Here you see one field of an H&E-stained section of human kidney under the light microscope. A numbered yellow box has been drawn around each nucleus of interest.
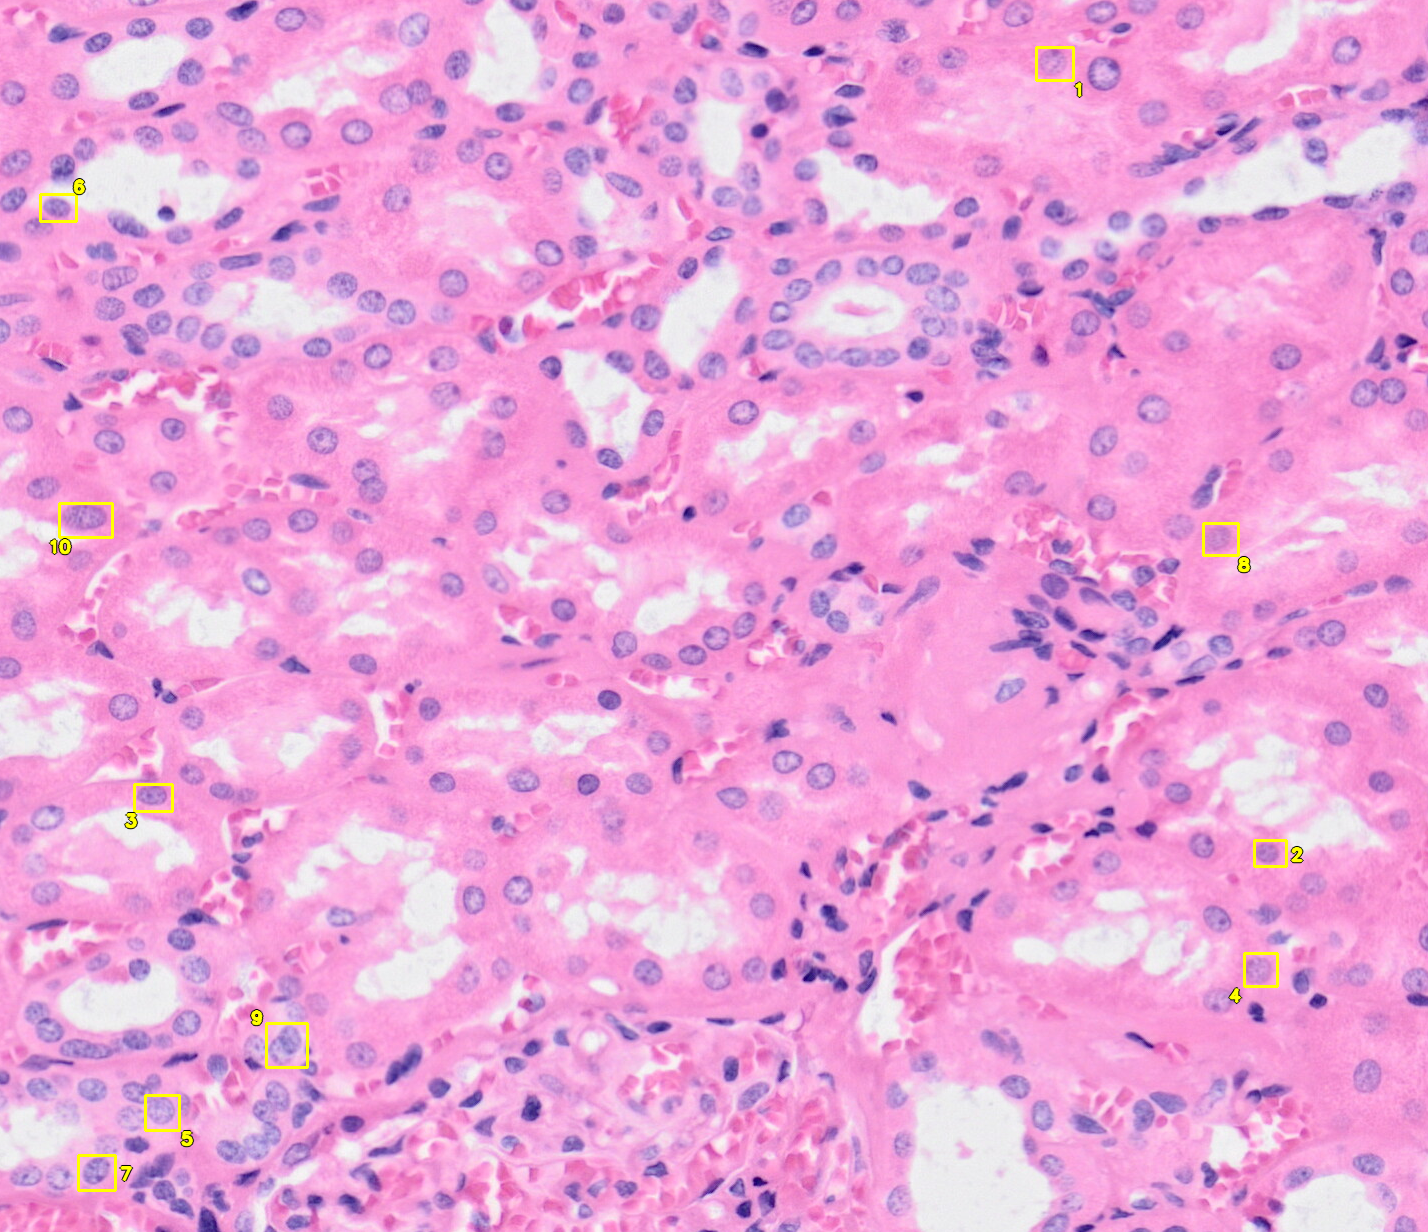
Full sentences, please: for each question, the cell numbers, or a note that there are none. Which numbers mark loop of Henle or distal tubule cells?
The numbered cells include exactly one that is a loop of Henle or distal tubule cell, which is cell 6.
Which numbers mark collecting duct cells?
The cells with the number labels 5, 7 and 9 are collecting duct cells.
